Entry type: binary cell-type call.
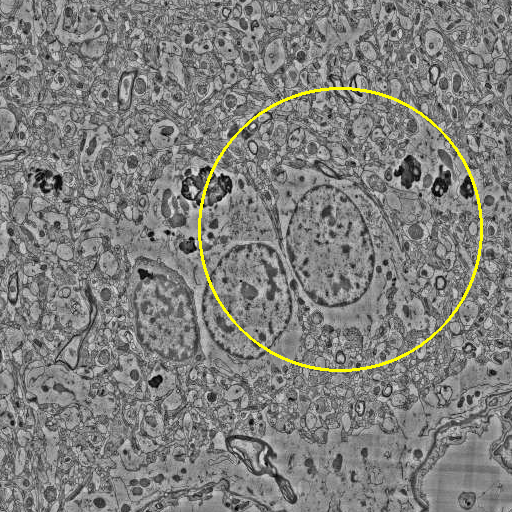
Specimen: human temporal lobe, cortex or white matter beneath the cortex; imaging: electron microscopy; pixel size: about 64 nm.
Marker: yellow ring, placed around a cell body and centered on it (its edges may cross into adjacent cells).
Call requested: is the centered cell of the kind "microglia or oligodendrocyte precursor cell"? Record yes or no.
no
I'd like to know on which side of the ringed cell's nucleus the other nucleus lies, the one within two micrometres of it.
The other nucleus appears to the left of it.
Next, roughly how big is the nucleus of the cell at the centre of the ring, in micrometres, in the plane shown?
The nucleus comes to roughly 8 by 5 micrometres in this plane.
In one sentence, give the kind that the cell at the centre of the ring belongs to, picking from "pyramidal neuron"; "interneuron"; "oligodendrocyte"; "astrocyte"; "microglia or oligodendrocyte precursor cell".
What the ring is centred on is an astrocyte.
